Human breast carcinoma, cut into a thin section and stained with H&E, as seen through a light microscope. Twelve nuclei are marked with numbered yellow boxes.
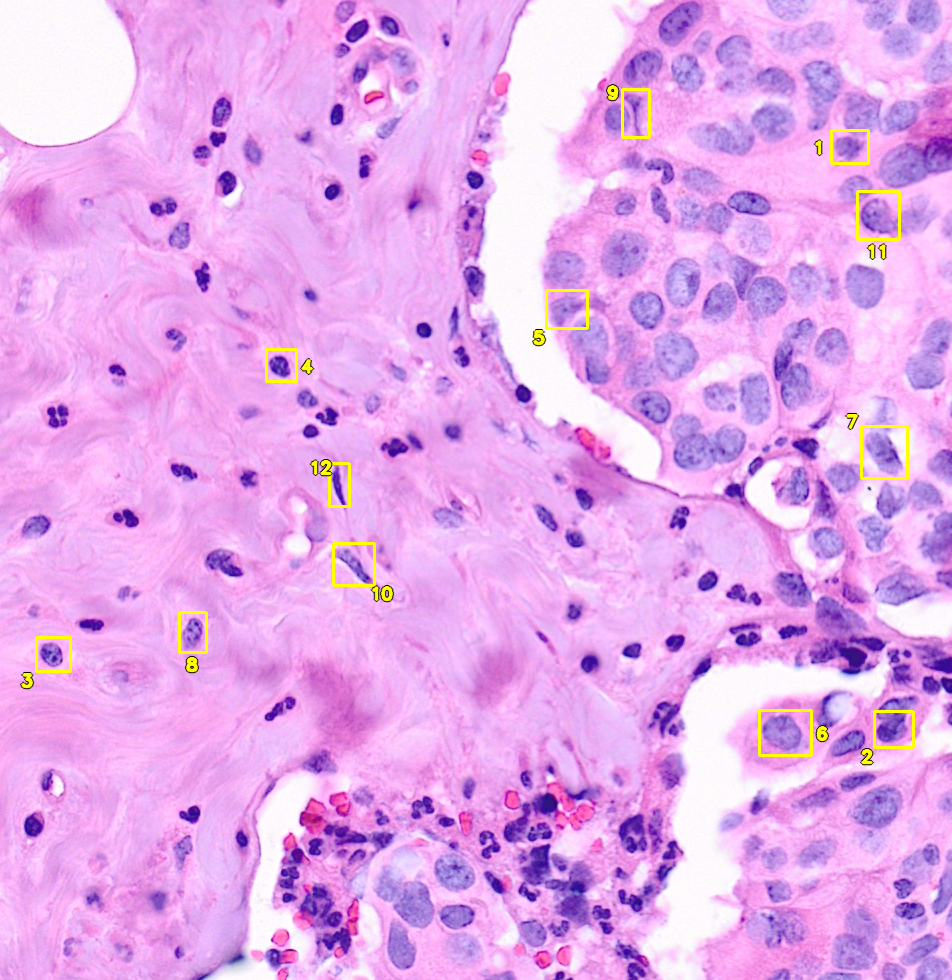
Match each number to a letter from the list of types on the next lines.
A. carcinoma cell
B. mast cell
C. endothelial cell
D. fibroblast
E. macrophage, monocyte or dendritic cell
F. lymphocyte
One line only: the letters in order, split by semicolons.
A; A; B; F; A; A; A; B; A; D; A; D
